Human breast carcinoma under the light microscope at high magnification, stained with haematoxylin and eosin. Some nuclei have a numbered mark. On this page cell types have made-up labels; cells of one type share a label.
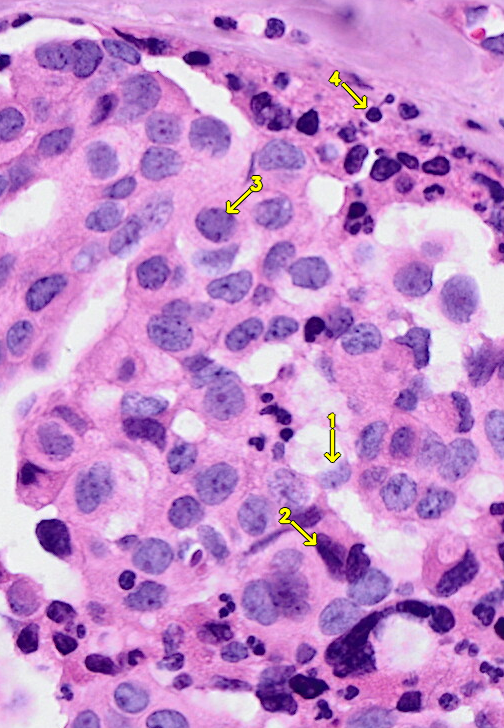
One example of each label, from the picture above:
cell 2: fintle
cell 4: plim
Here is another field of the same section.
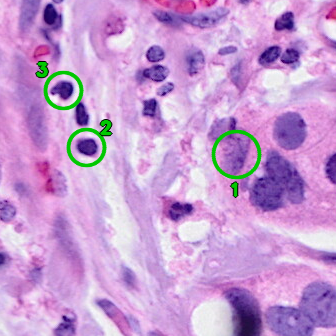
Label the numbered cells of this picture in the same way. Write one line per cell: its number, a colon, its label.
1: fintle
2: plim
3: plim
